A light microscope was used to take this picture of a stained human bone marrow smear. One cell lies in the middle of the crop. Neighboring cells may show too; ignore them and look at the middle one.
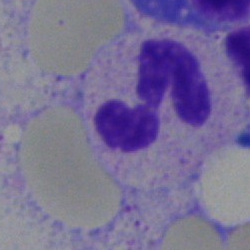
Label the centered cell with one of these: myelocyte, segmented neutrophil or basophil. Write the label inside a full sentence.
The centrally located cell in the crop is a segmented neutrophil.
